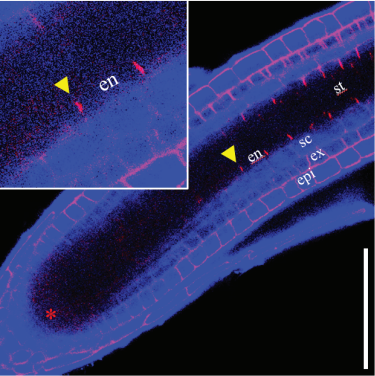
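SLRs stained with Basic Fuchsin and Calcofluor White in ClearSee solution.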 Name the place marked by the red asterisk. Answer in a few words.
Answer: Quiescent center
